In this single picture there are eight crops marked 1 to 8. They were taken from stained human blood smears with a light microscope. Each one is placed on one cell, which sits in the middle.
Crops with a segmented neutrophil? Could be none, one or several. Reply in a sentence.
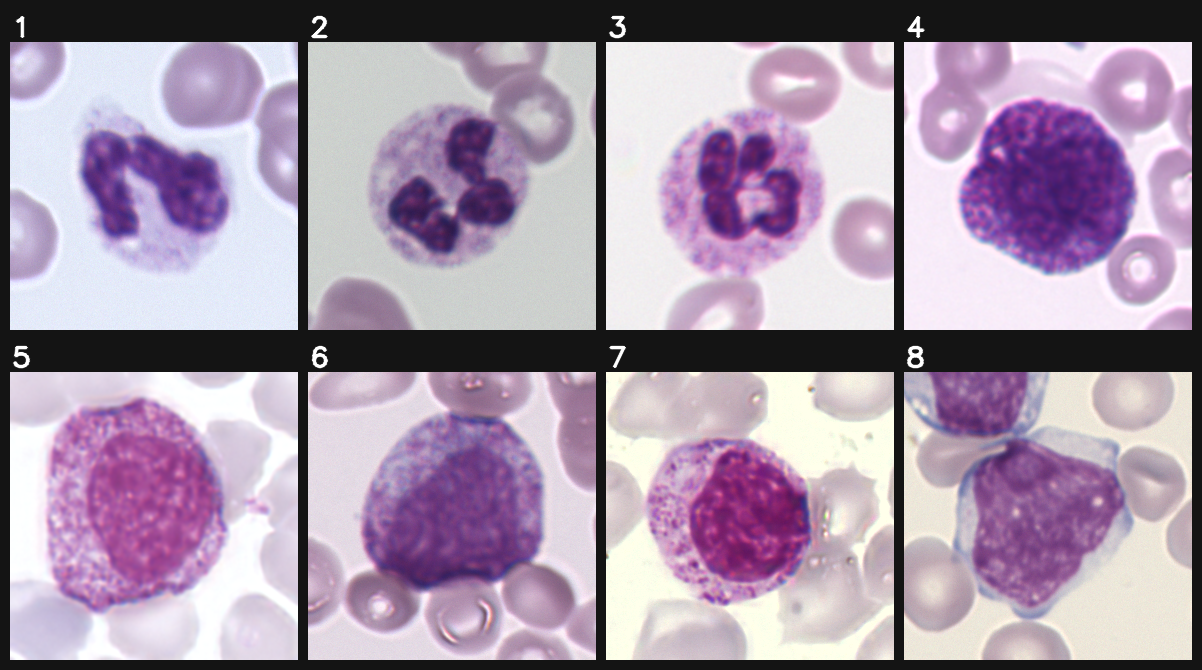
Shown at the centre of crops 1, 2 and 3 are segmented neutrophils.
